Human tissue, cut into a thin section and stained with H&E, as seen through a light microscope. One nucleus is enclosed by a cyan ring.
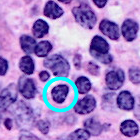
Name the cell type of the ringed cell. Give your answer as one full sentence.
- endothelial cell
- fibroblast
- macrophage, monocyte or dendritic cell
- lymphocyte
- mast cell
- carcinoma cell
The ringed cell appears to be a lymphocyte.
